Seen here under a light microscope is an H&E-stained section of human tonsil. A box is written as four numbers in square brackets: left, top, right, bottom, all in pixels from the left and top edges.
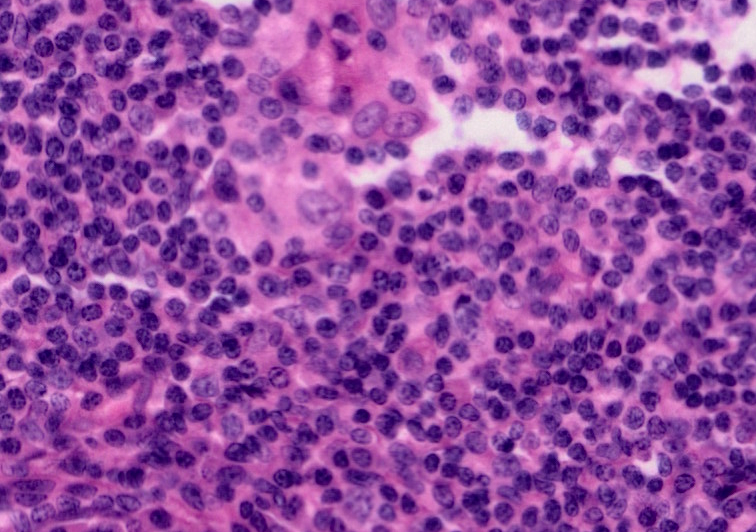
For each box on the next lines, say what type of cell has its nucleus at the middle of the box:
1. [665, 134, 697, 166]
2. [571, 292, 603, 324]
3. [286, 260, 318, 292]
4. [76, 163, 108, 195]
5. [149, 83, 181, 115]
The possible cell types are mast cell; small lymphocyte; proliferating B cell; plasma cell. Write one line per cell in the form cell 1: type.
cell 1: small lymphocyte
cell 2: plasma cell
cell 3: plasma cell
cell 4: small lymphocyte
cell 5: plasma cell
